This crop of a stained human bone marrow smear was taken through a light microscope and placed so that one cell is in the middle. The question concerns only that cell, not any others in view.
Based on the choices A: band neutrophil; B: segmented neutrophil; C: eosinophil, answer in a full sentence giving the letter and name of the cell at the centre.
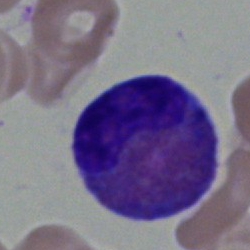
Given that the cell in the middle is an eosinophil, option C is correct.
